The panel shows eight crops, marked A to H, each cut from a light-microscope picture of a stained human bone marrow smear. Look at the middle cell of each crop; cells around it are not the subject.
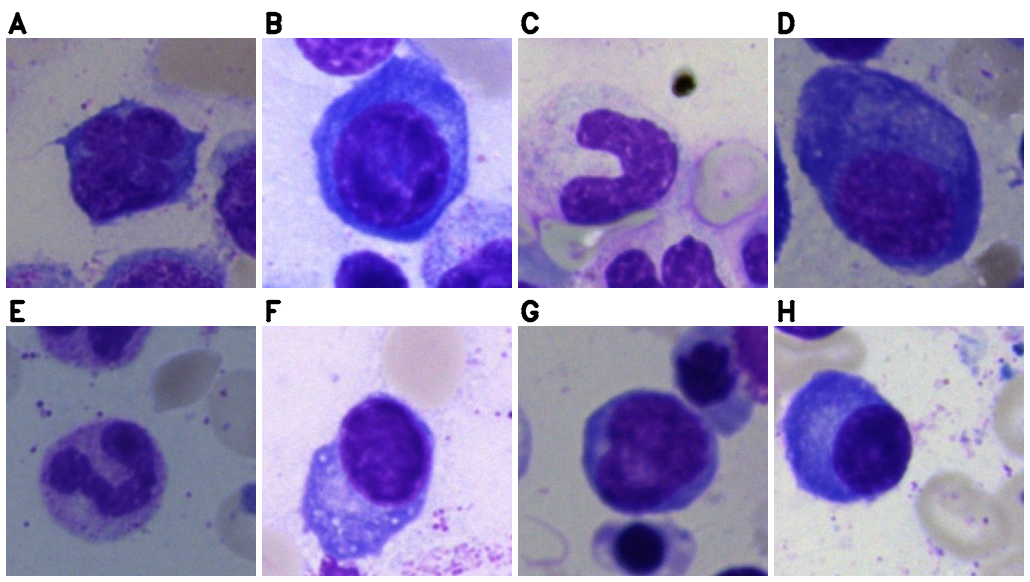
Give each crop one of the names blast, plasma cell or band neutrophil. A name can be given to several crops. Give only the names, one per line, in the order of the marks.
blast
plasma cell
band neutrophil
plasma cell
band neutrophil
plasma cell
blast
plasma cell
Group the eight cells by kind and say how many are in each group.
plasma cell: 4
blast: 2
band neutrophil: 2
